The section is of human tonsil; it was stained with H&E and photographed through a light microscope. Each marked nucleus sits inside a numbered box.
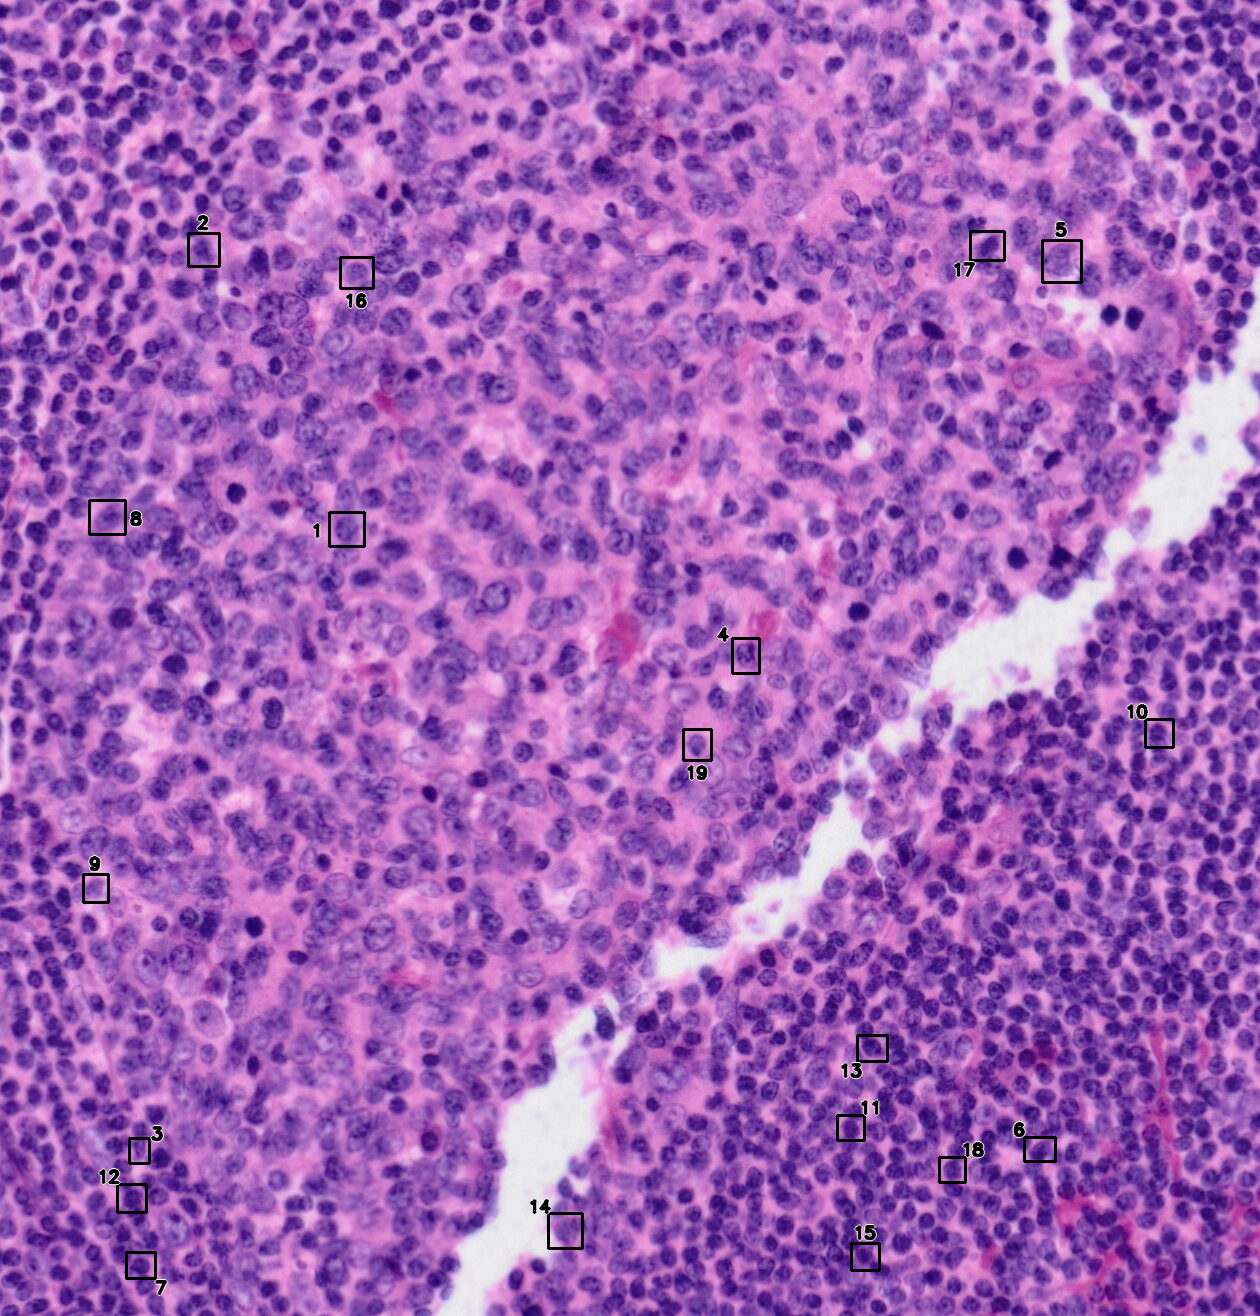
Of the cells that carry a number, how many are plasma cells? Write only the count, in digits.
0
